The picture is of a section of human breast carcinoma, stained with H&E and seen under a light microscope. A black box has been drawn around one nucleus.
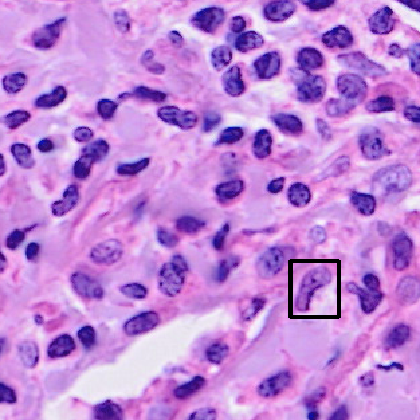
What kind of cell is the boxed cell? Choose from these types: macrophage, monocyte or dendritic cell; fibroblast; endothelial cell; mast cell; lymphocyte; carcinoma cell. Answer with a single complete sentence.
The boxed cell appears to be a macrophage, monocyte or dendritic cell.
